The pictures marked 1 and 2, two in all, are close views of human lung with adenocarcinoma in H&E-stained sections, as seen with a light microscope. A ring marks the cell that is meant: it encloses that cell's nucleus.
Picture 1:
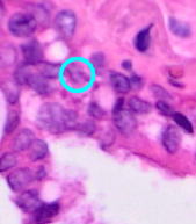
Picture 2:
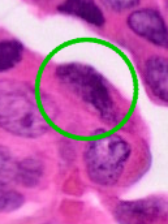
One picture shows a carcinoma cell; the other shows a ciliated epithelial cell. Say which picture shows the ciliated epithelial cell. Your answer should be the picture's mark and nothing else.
1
